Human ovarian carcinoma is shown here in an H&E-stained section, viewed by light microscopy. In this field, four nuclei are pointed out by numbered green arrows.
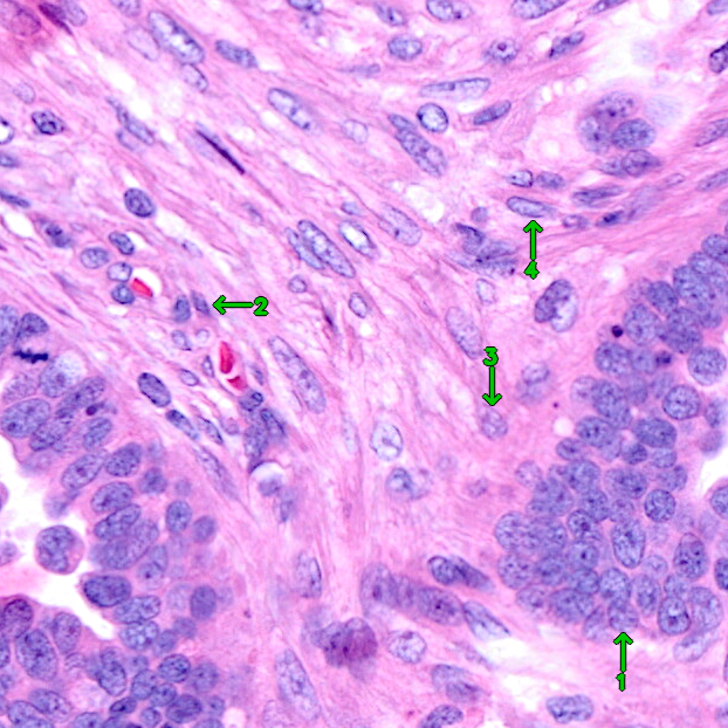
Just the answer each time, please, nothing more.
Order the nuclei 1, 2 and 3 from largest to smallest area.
3, 1, 2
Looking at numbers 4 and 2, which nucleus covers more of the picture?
4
